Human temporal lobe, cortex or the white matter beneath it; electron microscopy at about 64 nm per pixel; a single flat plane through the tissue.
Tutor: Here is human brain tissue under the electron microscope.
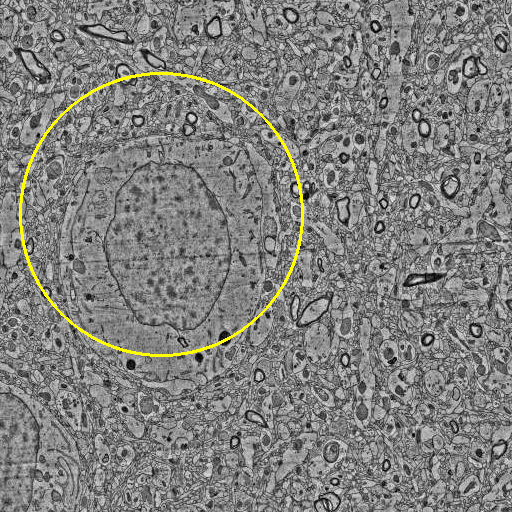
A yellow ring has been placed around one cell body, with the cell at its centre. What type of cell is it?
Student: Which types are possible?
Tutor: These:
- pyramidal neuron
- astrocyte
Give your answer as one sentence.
What the ring picks out here is a pyramidal neuron.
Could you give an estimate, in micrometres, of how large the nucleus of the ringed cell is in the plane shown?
The nucleus has a long axis of about 11 micrometres and a short axis of about 8 micrometres in this plane.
